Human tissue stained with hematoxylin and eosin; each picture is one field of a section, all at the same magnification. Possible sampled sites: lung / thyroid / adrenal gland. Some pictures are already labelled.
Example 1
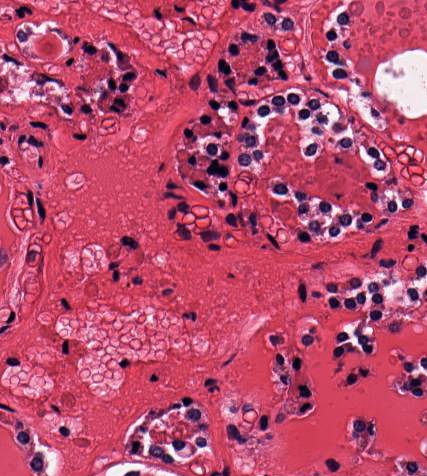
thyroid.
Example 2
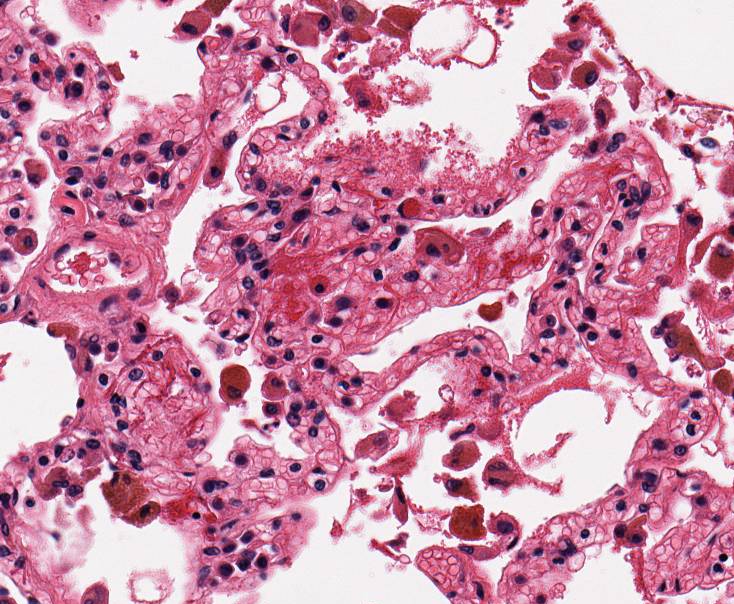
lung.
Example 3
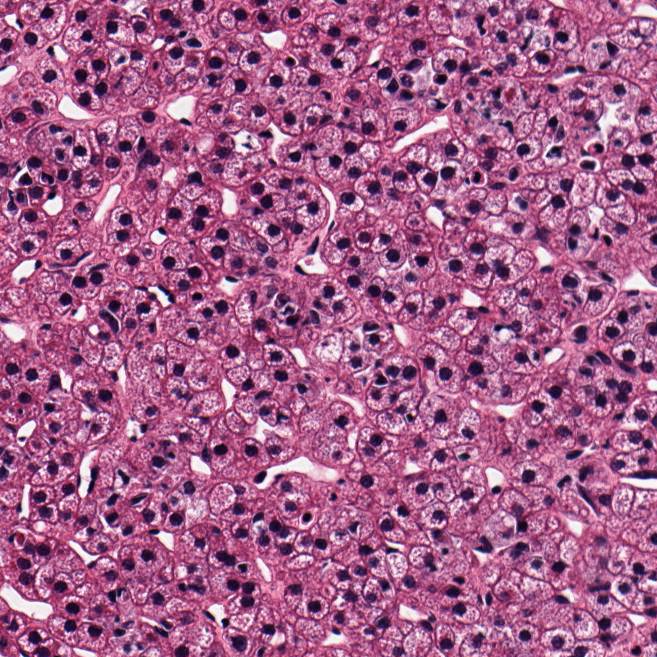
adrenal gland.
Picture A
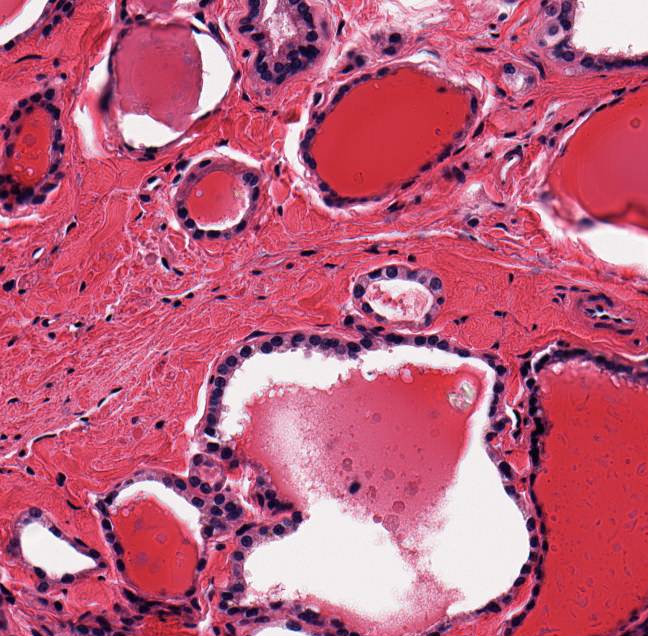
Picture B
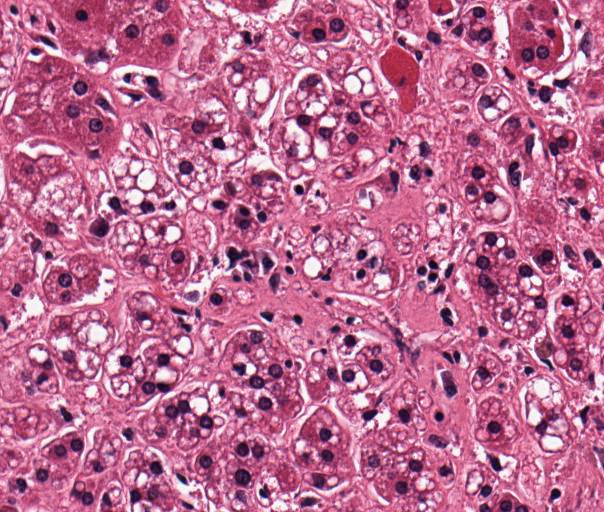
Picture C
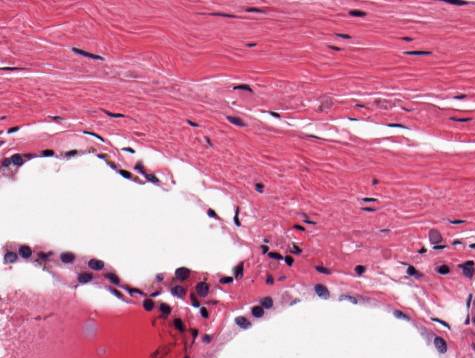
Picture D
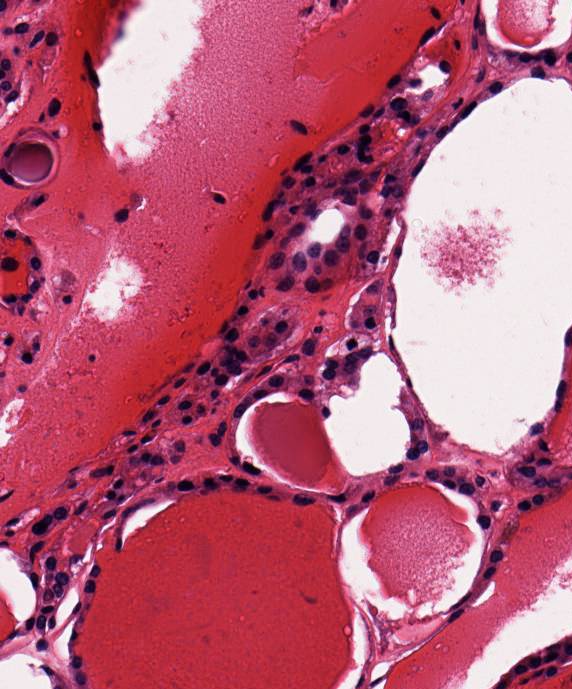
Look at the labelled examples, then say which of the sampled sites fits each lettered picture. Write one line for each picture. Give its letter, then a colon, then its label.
A: thyroid.
B: adrenal gland.
C: thyroid.
D: thyroid.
